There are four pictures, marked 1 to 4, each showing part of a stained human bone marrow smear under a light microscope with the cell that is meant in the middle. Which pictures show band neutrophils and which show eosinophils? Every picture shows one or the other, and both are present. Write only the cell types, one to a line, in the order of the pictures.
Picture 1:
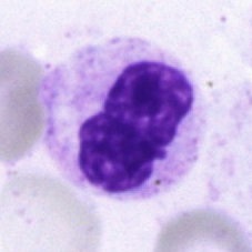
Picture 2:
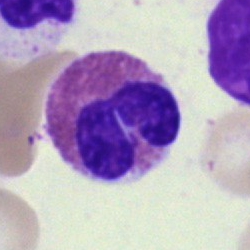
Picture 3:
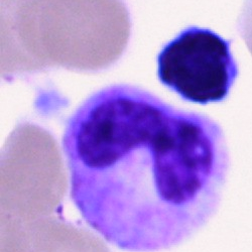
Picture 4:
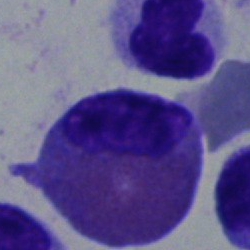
band neutrophil
eosinophil
band neutrophil
eosinophil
